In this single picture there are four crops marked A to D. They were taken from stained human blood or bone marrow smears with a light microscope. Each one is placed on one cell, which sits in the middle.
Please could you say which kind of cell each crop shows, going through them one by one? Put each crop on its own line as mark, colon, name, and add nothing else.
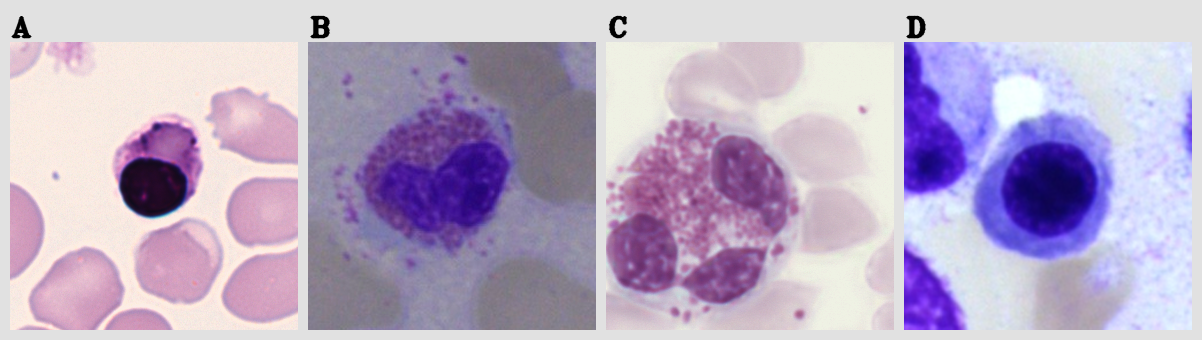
A: erythroblast
B: eosinophil
C: eosinophil
D: erythroblast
